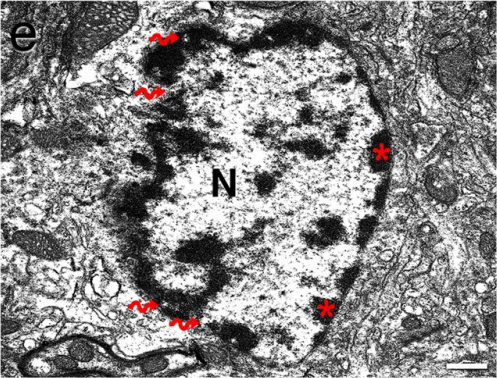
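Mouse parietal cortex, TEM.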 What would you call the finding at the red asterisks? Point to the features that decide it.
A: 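The asterisks sit on dense dark masses inside the nucleus. Dark masses lie against the nuclear border while the centre stays pale.
Chromatin clumping.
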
